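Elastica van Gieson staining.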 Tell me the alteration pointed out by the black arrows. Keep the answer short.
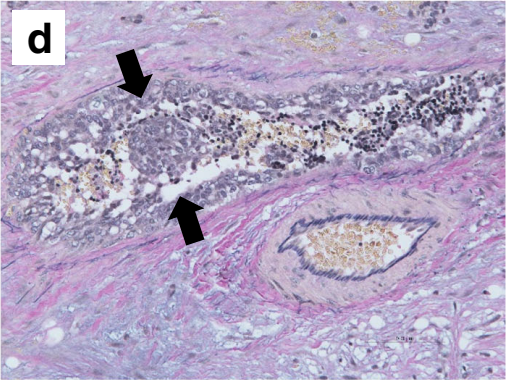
Venous invasion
